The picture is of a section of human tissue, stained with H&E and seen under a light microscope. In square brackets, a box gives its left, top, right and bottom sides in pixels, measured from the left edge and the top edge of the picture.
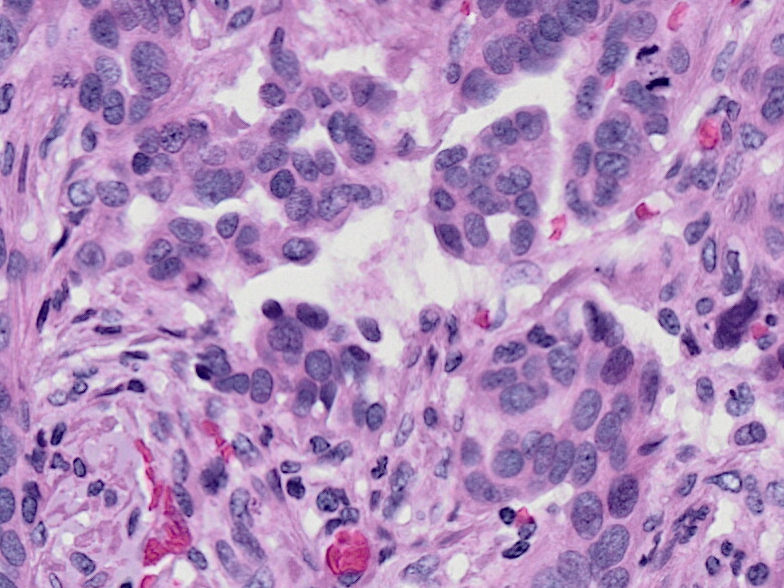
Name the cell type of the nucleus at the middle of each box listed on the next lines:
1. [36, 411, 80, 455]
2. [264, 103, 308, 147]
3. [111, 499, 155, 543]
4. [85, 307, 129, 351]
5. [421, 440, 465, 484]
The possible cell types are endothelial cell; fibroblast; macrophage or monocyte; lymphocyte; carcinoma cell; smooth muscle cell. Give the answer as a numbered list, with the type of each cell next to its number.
1. lymphocyte
2. carcinoma cell
3. fibroblast
4. fibroblast
5. fibroblast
